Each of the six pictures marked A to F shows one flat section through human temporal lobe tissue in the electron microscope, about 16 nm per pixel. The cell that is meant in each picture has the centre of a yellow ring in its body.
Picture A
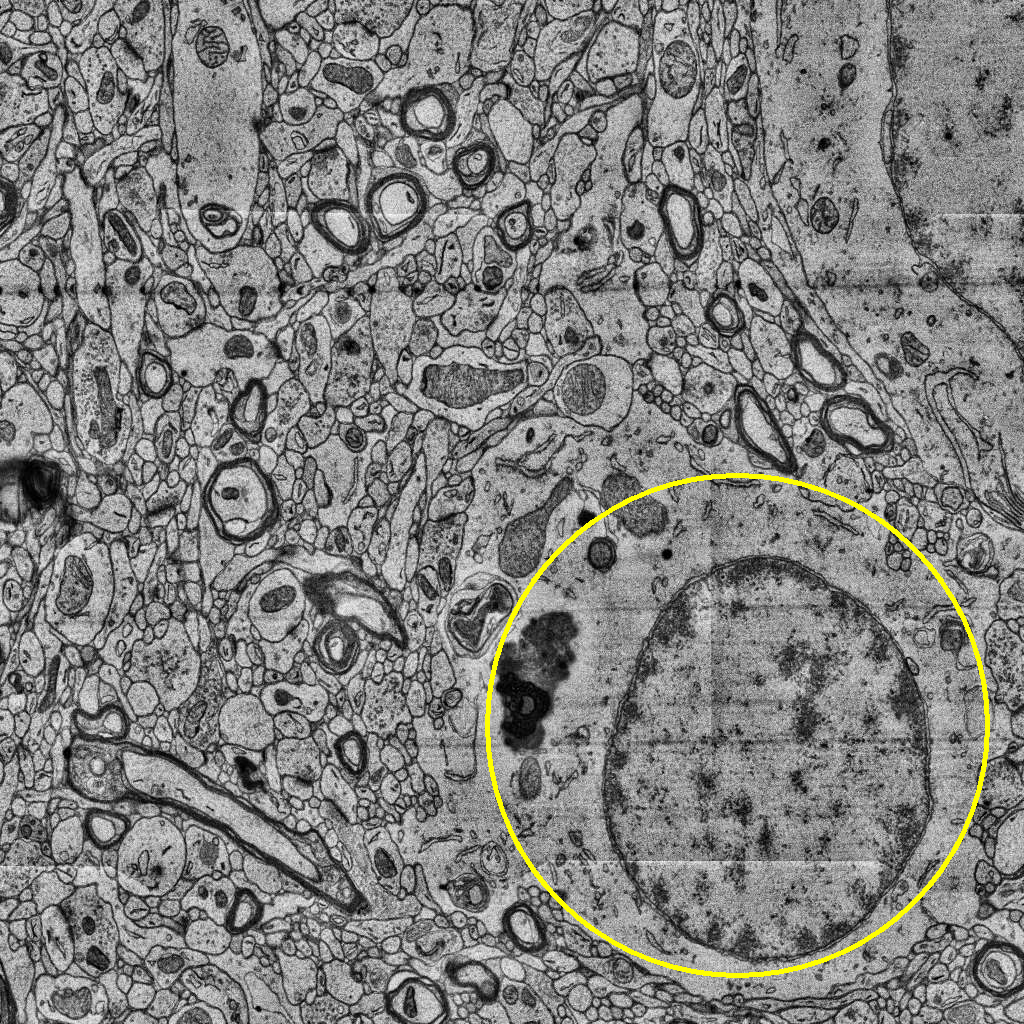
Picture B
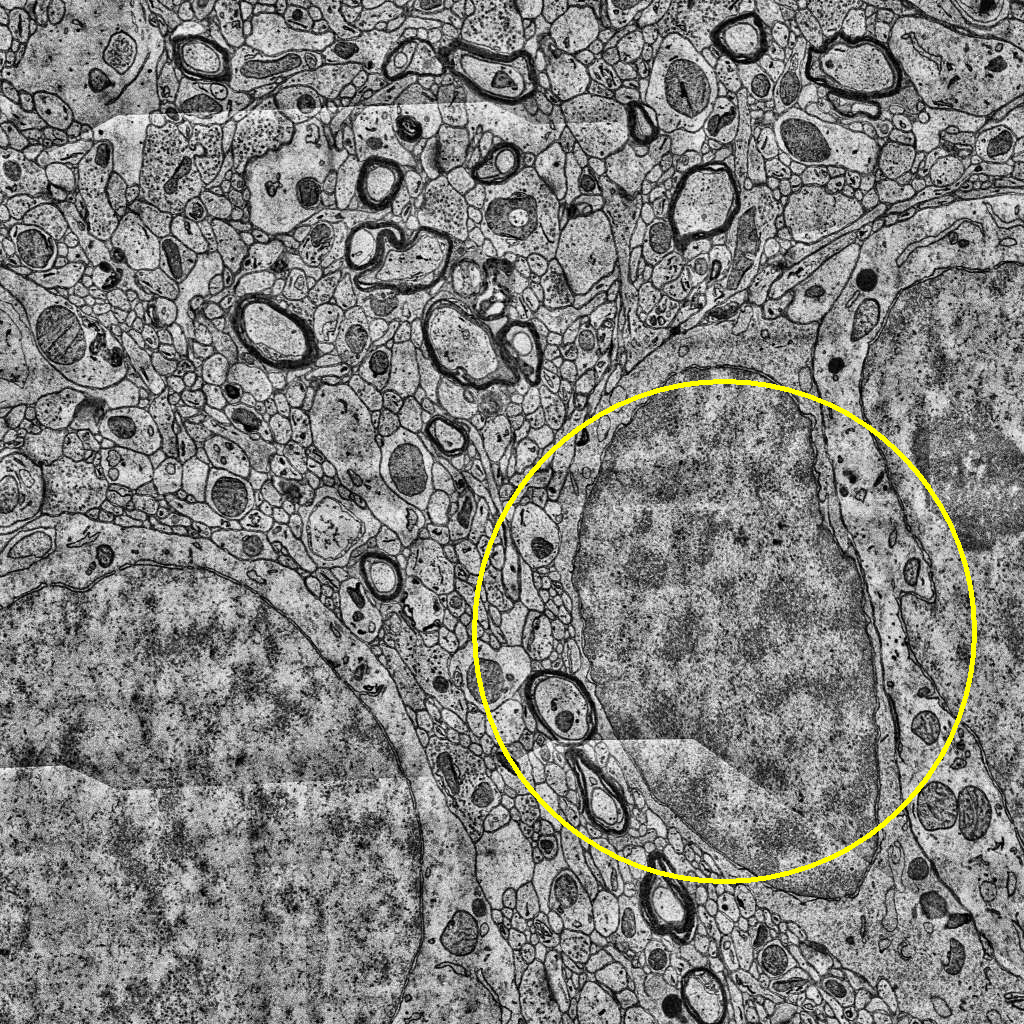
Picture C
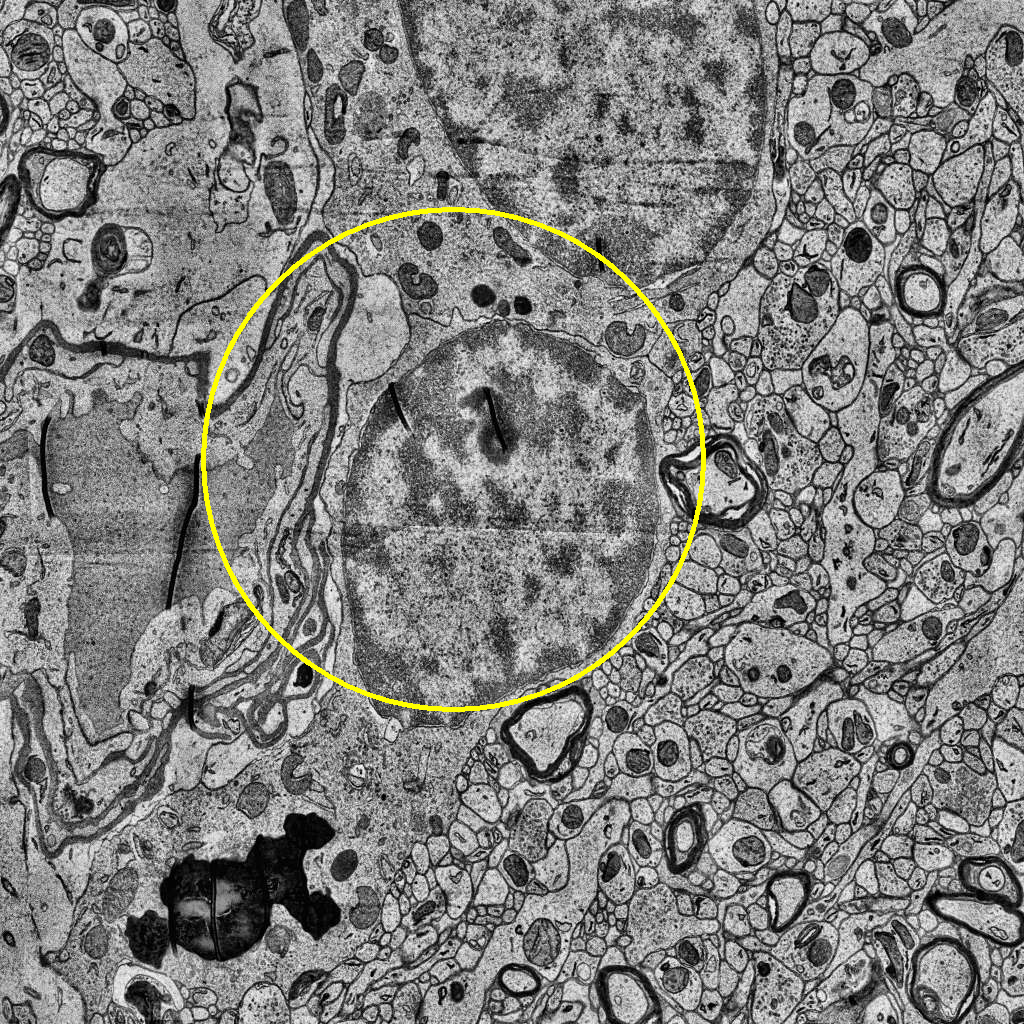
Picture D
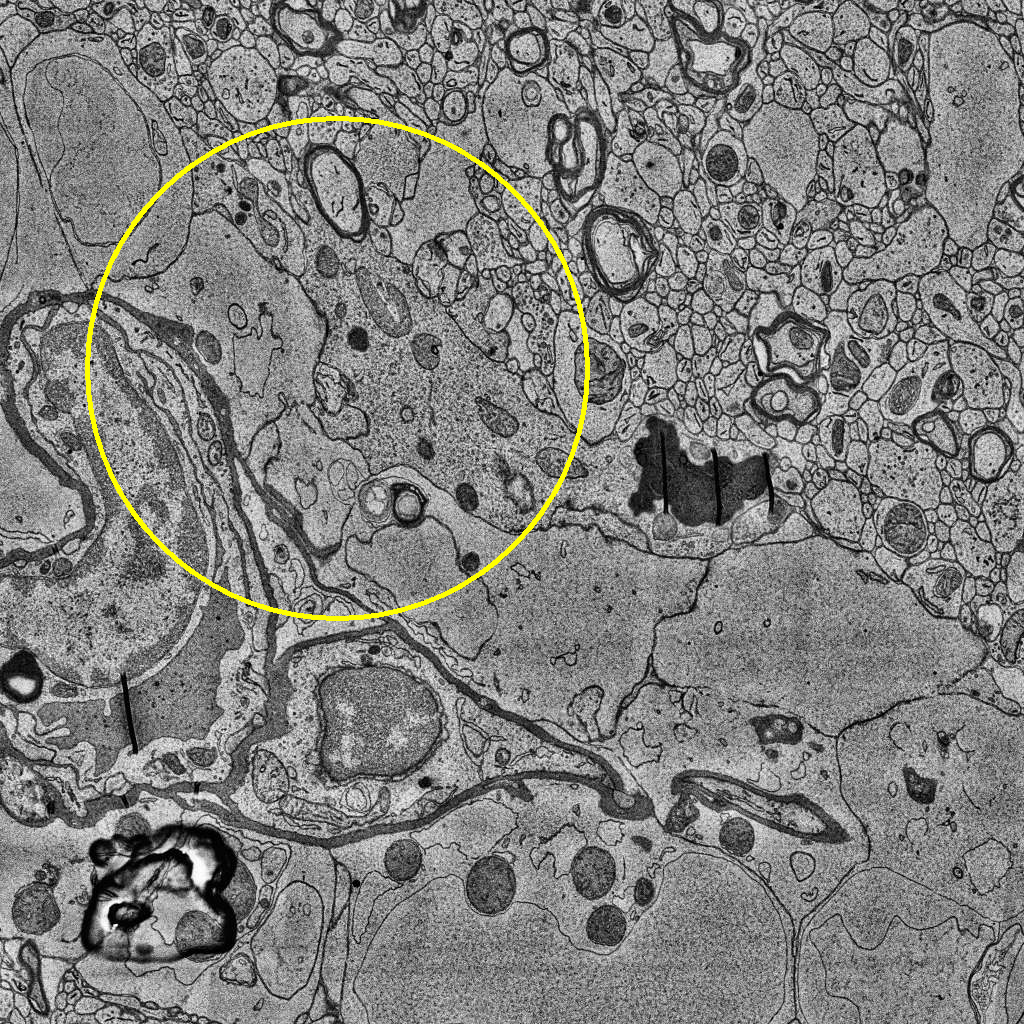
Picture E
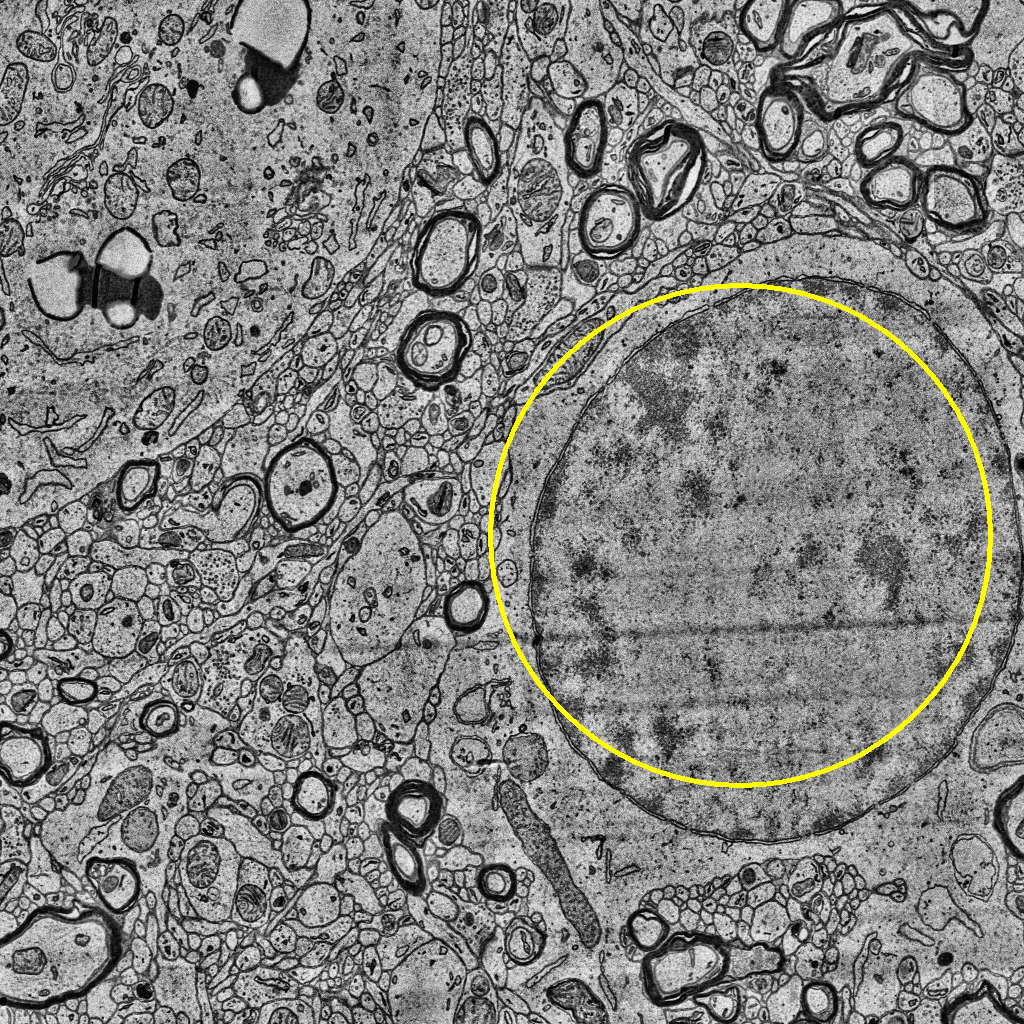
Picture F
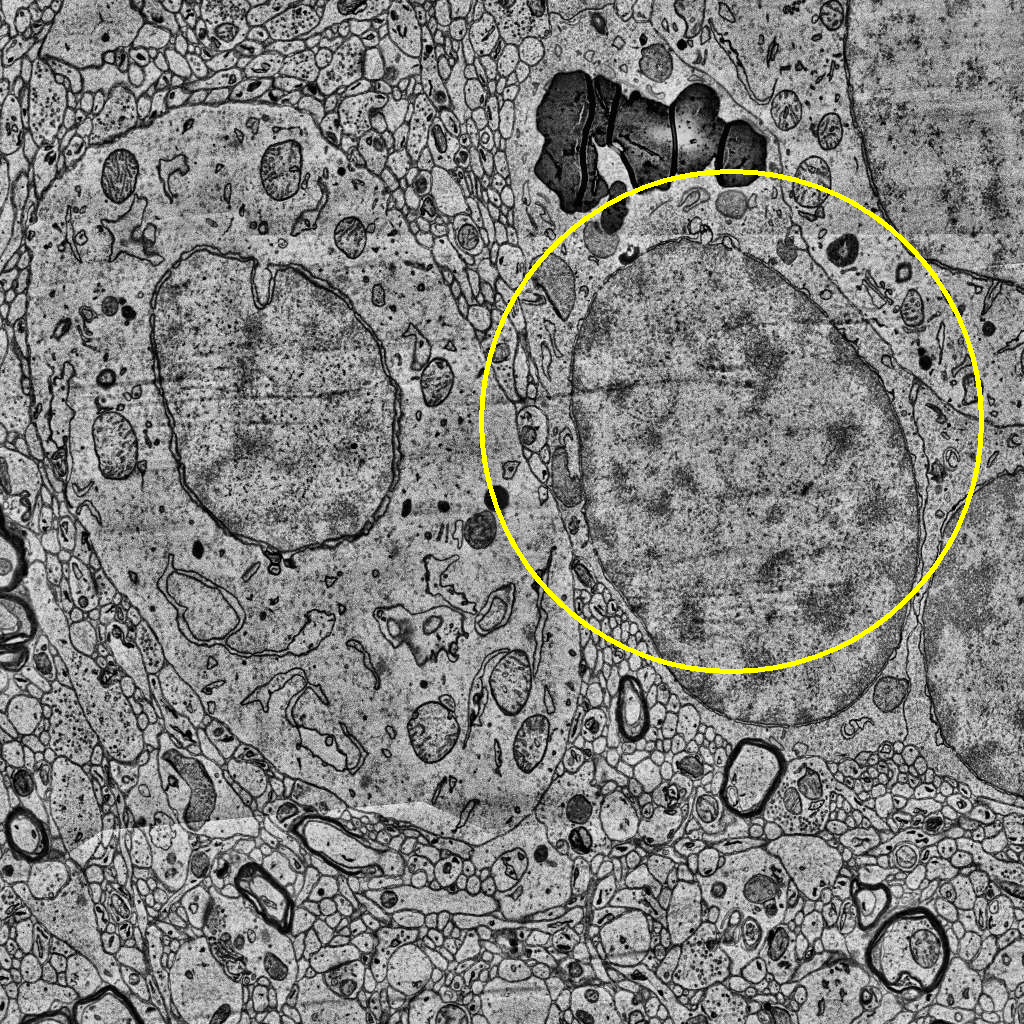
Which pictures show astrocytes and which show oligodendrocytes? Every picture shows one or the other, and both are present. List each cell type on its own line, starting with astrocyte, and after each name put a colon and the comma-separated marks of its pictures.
astrocyte: A, E
oligodendrocyte: B, C, D, F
